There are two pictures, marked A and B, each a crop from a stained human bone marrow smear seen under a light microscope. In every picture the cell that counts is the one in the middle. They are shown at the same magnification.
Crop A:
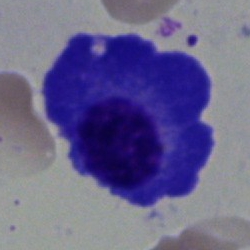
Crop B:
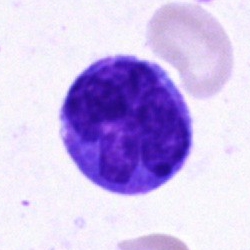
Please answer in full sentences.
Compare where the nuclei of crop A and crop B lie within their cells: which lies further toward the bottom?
Seen within its cell, the nucleus in crop A lies further toward the bottom.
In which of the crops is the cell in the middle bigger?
Crop A holds the larger cell; it covers about 1.5 times the area of the cell in crop B.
